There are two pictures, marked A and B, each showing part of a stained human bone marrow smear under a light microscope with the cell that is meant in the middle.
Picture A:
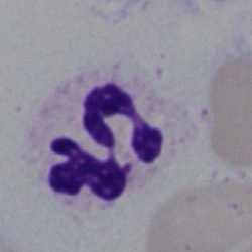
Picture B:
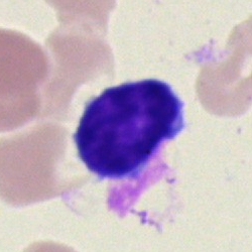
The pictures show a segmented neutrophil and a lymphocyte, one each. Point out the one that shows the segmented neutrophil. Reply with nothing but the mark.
A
